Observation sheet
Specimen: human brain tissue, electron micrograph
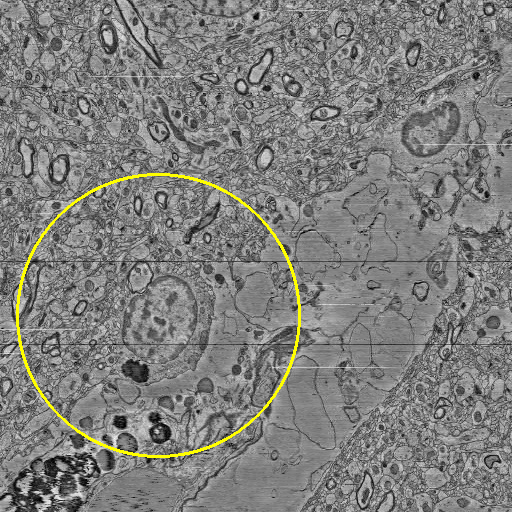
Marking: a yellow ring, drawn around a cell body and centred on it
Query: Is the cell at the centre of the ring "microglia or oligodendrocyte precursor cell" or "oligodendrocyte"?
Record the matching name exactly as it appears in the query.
oligodendrocyte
